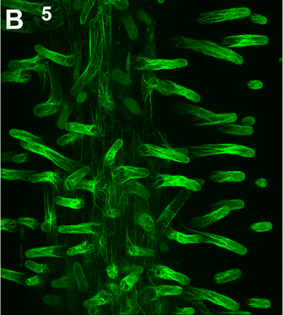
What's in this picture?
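A stretch of root surface in the root hair region, seen from the side, with numerous root hairs, long tubular outgrowths with rounded tips, pointing out in many directions from the epidermis. Green filament bundles run lengthwise inside the hairs, some reaching close to the tips. Beneath the hairs, elongated epidermal cells lie parallel to the root axis and contain long green filament cables running along their length. The hairs vary in length and many are seen in short, out-of-plane segments.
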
